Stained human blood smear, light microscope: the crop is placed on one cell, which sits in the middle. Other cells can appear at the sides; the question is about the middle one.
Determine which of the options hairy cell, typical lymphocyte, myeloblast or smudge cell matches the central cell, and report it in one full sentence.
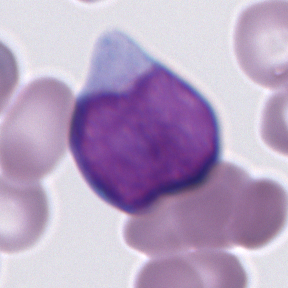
This crop's central cell is a myeloblast.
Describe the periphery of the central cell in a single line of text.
Irregular and not smooth, the cell boundary is ragged or drawn out into projections.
